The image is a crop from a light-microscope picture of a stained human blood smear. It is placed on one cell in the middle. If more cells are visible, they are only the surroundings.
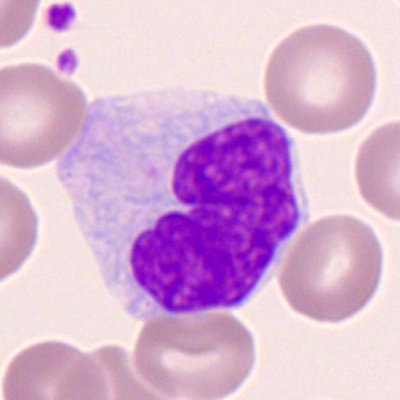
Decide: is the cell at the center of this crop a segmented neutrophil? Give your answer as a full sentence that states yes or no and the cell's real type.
No, what is centred in the crop is not a segmented neutrophil but a monocyte.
